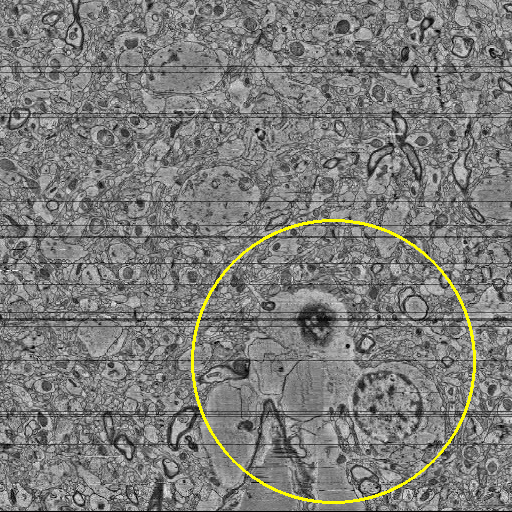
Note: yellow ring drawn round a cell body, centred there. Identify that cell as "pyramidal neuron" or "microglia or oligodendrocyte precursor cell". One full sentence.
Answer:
The cell in the middle of the ring is a microglial cell or oligodendrocyte precursor cell.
